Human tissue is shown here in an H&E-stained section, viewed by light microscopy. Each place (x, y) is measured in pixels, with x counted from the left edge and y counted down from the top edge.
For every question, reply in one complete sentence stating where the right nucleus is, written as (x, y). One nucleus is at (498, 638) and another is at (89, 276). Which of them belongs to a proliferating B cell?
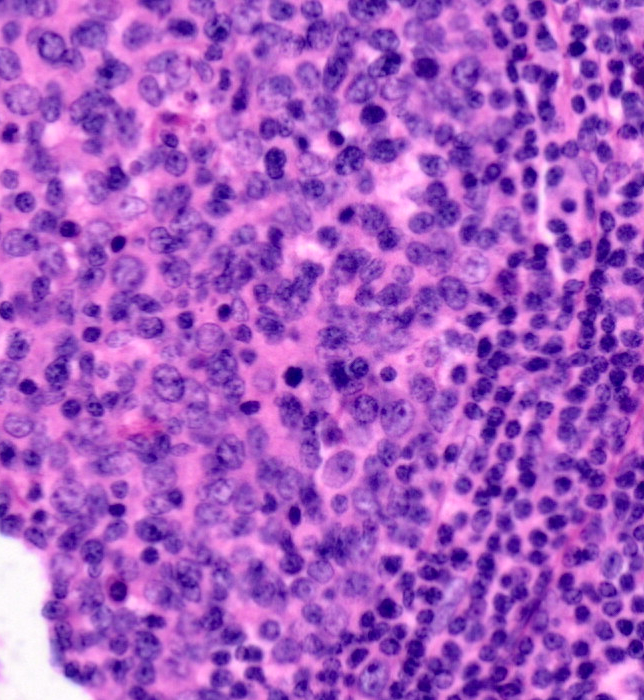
Between the pair, the nucleus at (89, 276) belongs to a proliferating B cell.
